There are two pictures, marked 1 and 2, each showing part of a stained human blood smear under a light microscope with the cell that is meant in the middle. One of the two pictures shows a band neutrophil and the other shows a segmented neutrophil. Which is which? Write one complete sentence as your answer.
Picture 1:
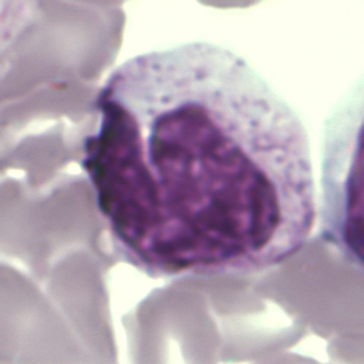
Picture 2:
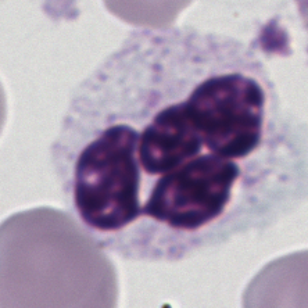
The cell in picture 1 is a band neutrophil, and the one in picture 2 is a segmented neutrophil.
